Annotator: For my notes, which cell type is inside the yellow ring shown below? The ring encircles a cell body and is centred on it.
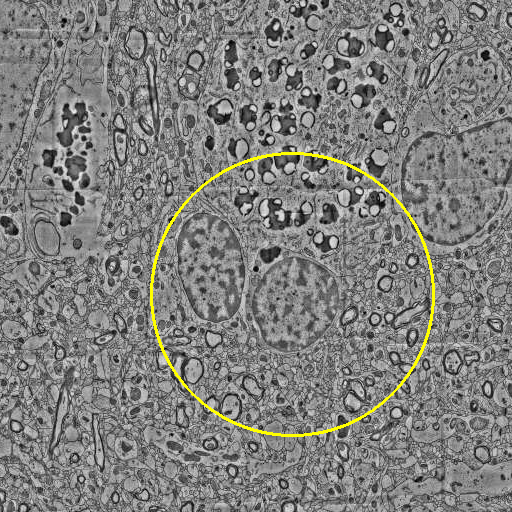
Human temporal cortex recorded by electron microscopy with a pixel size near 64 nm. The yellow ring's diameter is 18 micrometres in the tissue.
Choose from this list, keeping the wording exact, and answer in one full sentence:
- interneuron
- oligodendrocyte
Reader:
At the centre of the yellow ring there is an oligodendrocyte, as shown in the picture.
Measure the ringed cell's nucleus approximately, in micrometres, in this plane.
In this plane, the nucleus of the cell at the centre of the ring is about 6 micrometres across.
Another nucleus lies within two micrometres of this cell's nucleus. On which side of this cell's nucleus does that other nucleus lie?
That other nucleus is to the left of it.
